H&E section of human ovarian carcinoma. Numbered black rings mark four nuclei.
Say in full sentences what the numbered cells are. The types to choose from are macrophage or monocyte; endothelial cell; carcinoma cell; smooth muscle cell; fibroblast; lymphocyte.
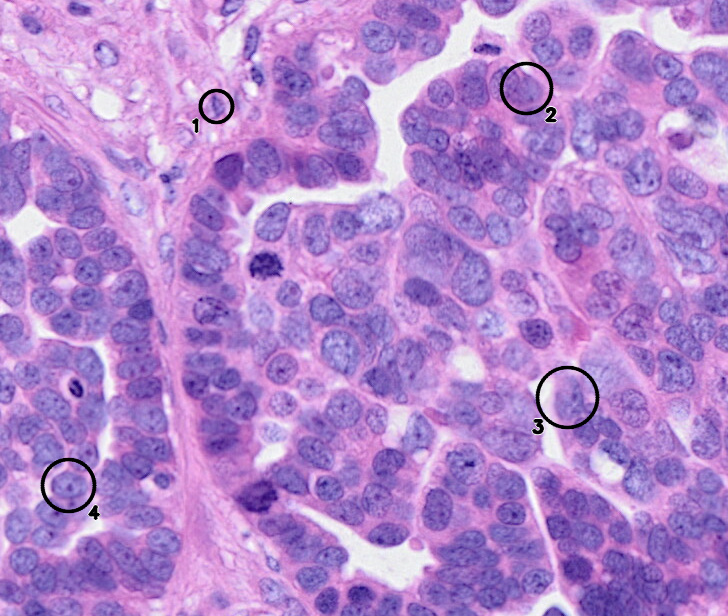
Cell 1 is a fibroblast. Cells 2, 3 and 4 are carcinoma cells.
